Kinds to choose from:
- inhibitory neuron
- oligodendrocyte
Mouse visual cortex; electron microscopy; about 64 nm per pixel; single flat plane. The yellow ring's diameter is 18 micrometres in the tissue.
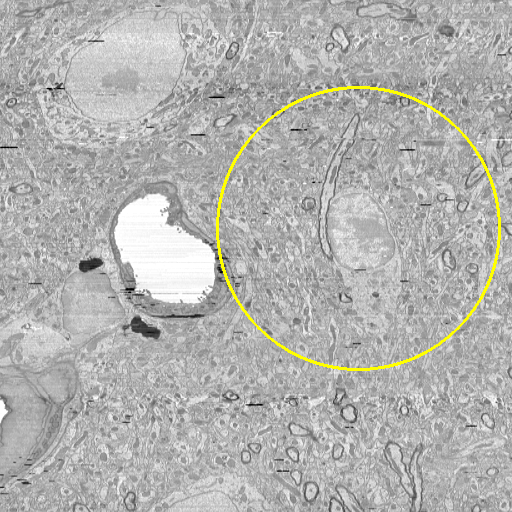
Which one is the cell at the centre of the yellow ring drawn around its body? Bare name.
oligodendrocyte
